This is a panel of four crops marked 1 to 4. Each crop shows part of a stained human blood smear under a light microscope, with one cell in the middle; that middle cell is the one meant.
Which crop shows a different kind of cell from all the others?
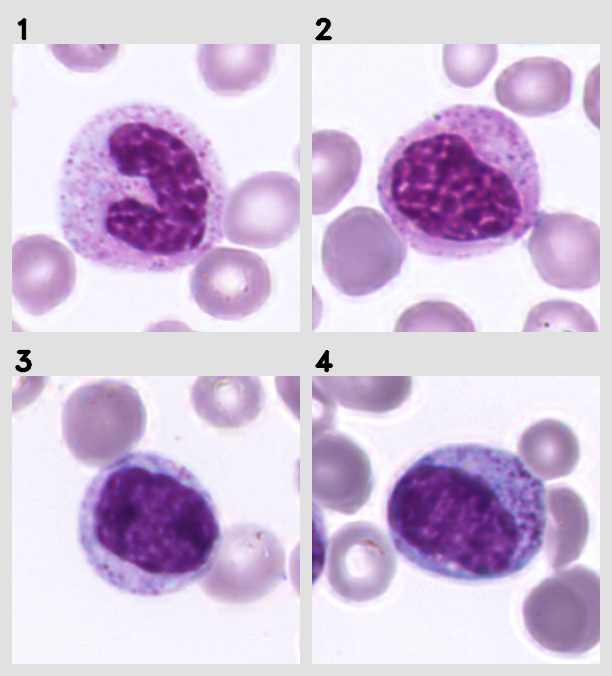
1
